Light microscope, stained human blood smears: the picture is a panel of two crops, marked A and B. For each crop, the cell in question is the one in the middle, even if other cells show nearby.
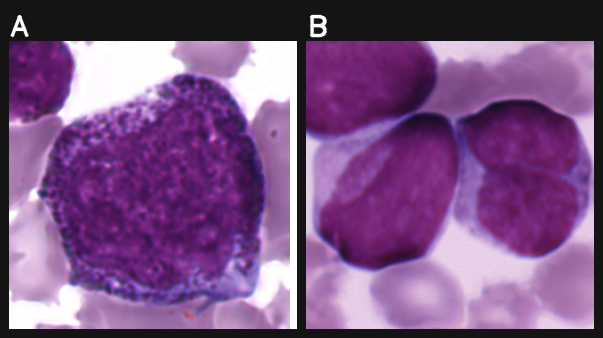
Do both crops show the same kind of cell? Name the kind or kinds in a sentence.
No, in this case crop A shows a promyelocyte, and crop B shows a blast.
